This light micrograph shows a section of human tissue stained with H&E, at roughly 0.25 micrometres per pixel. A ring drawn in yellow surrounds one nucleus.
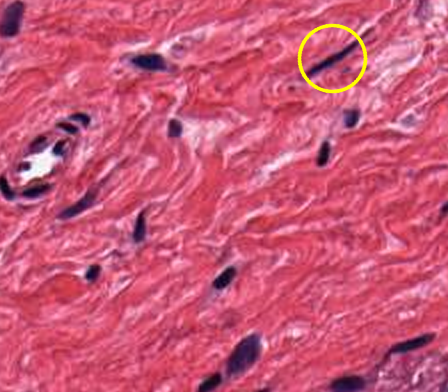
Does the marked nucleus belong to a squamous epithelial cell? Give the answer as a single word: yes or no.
no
